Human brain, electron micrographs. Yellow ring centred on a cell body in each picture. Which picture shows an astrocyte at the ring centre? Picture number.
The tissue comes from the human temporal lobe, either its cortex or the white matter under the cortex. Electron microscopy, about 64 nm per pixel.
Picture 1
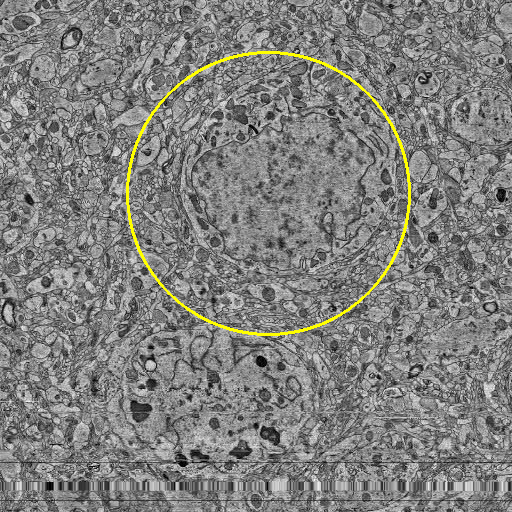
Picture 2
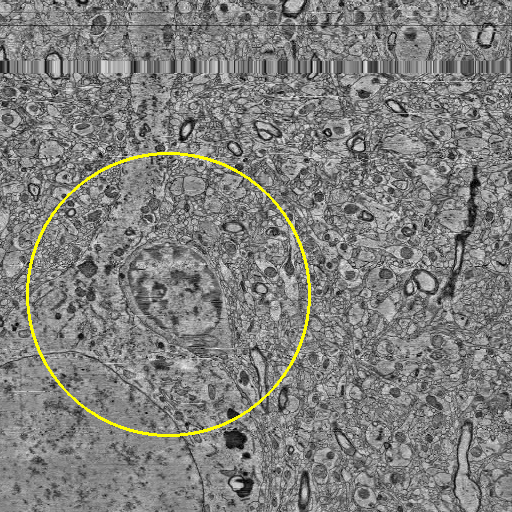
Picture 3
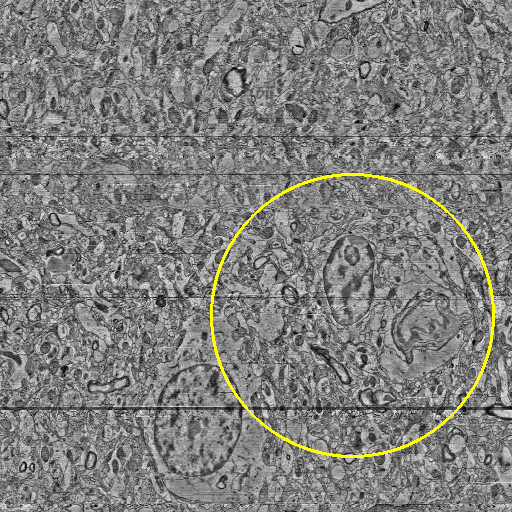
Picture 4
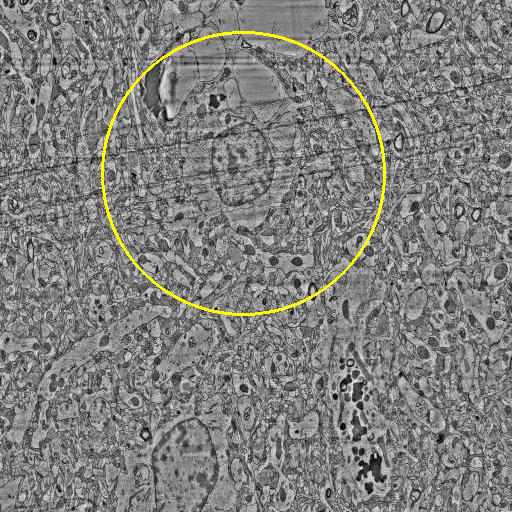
4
